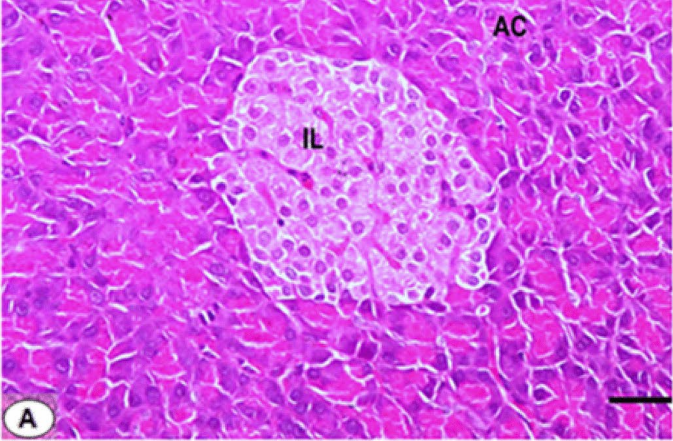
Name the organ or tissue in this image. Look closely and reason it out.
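A pale, rounded cluster of cells lies within surrounding tissue. The surrounding cells are deep pink and grouped into small acini. The pale cluster is sharply set off from the darker surrounding tissue. That points to this answer: pancreatic.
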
